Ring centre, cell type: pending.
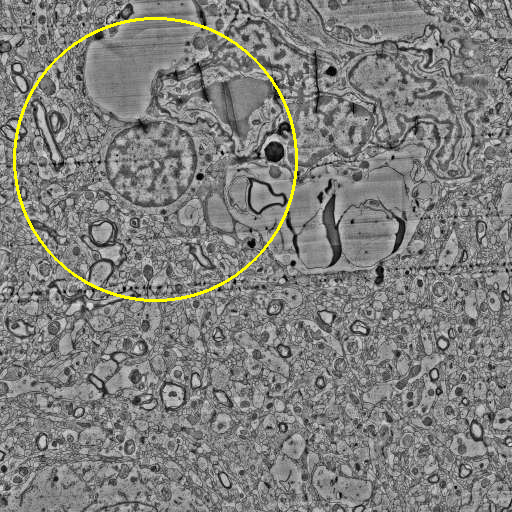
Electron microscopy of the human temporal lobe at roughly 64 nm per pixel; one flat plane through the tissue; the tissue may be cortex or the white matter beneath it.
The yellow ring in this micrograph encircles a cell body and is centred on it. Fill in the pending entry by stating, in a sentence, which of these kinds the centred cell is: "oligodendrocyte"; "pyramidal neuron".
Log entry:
The centred cell is recorded as an oligodendrocyte.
